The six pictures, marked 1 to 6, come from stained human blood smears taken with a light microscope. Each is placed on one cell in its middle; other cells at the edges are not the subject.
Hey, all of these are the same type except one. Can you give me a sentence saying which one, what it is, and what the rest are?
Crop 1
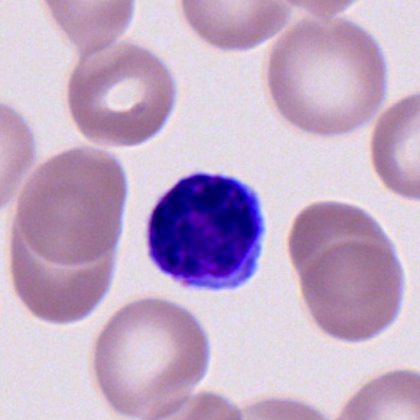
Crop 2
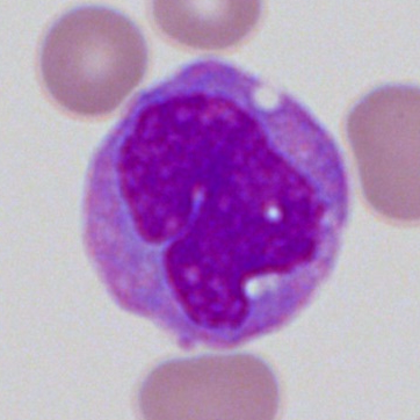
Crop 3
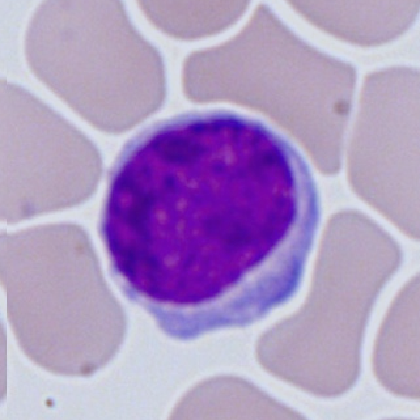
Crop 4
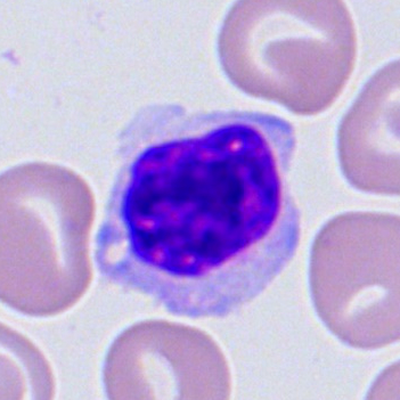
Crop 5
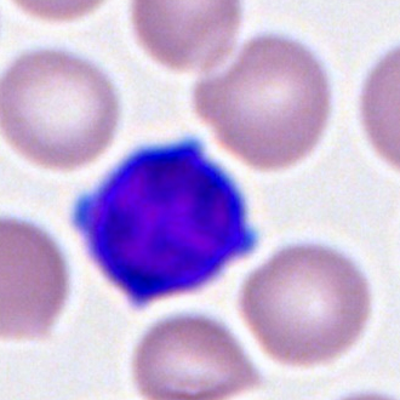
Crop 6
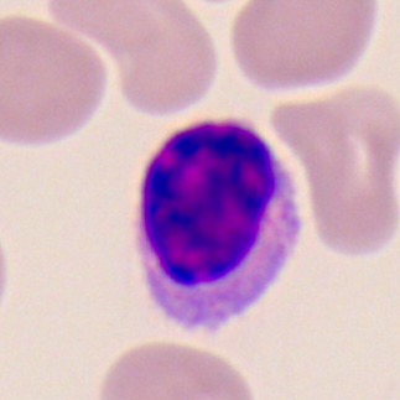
What sets crop 2 apart is that it is a monocyte; the others are all lymphocytes.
